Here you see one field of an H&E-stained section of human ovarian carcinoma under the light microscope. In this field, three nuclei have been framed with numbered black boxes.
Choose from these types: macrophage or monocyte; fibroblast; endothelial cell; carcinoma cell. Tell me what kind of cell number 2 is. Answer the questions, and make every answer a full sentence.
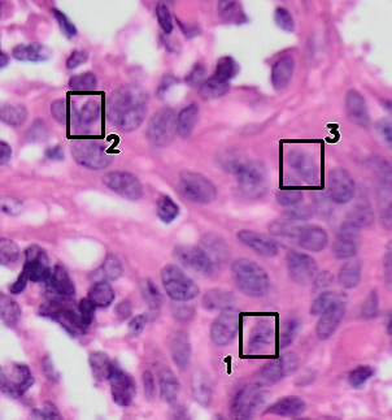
The mark numbered 2 indicates the nucleus of a carcinoma cell.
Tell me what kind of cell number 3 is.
The one labeled 3 is a carcinoma cell, to put it simply.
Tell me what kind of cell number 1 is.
Number 1 is placed on a macrophage or monocyte here.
